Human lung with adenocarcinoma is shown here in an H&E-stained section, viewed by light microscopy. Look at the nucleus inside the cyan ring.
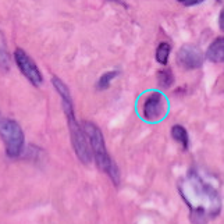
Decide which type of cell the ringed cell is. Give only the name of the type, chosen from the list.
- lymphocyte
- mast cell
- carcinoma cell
mast cell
